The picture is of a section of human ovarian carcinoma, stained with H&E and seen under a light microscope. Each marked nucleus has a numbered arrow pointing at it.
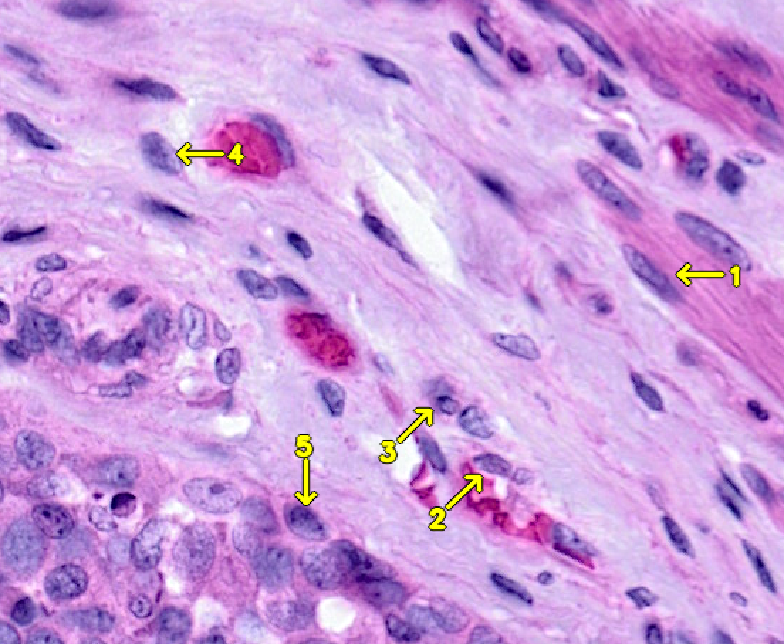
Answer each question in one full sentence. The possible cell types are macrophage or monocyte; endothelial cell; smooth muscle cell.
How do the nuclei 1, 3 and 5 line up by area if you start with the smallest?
By area, going up from the smallest, they rank 3, 5, 1.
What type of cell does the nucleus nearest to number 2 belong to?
Number 2 lies closest to the nucleus of an endothelial cell.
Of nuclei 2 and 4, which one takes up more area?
Number 4 is larger; its area is about 2 times that of number 2.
